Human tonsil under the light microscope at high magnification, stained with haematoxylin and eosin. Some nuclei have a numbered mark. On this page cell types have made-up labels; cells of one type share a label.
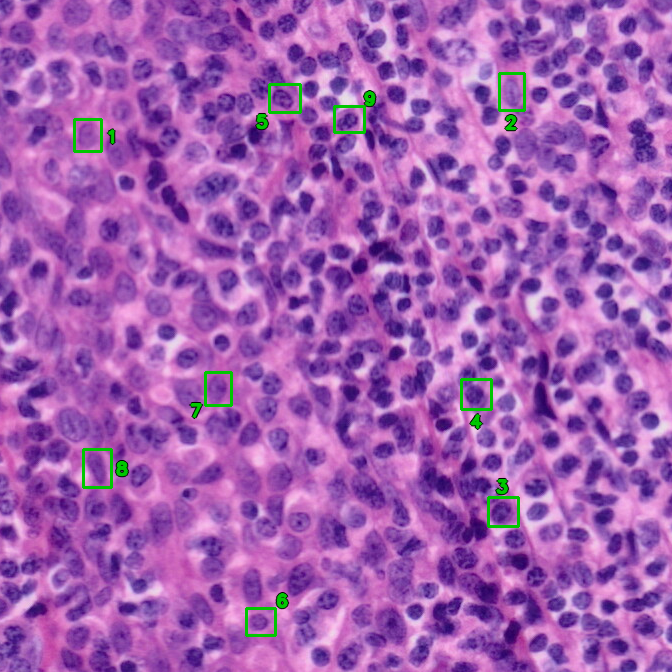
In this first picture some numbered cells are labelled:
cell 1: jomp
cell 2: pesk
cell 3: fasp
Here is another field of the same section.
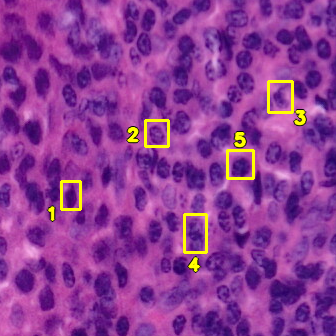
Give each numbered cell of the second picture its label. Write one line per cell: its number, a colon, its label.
1: jomp
2: fasp
3: pesk
4: fasp
5: fasp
